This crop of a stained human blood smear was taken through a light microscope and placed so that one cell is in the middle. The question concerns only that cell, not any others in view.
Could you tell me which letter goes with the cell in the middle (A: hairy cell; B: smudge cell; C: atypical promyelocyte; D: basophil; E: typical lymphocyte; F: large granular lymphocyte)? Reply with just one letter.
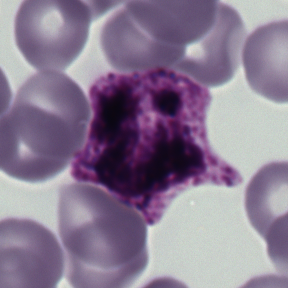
D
